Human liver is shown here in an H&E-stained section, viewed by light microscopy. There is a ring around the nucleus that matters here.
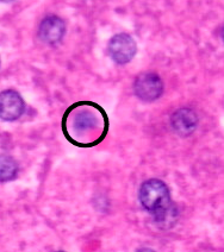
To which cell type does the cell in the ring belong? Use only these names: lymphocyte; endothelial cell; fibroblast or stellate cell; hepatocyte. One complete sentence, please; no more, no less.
In this preparation, the cell in the ring is an endothelial cell.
